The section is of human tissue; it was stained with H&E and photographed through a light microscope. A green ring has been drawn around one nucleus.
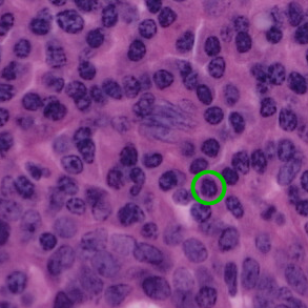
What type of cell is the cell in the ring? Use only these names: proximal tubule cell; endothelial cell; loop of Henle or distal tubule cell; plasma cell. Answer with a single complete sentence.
The cell in the ring appears to be a plasma cell.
